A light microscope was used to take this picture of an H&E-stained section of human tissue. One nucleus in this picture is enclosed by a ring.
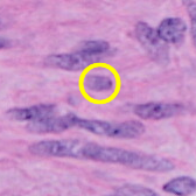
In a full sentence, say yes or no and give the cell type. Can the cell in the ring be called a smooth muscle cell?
Yes, a smooth muscle cell is what the cell in the ring represents in this tissue.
